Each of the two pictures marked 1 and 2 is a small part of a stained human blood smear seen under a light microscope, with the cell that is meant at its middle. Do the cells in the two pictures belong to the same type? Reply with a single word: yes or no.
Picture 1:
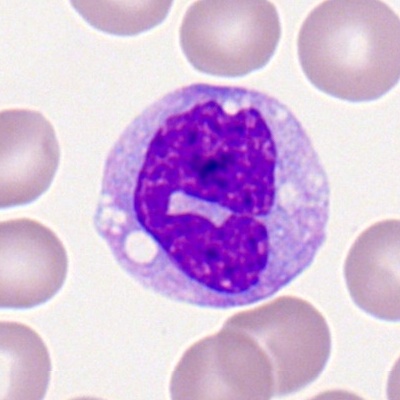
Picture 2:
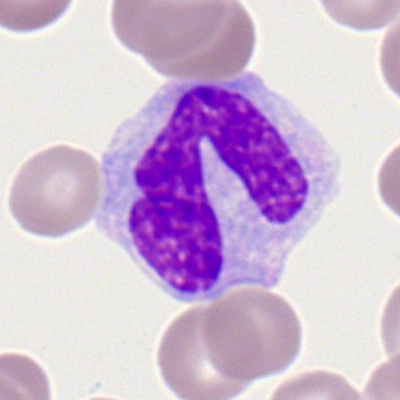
yes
